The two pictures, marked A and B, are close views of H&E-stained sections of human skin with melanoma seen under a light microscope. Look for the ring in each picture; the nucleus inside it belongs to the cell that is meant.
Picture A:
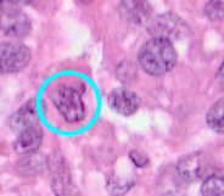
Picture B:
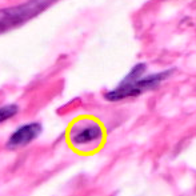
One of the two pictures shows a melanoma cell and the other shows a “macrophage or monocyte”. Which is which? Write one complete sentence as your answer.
Picture A is of a melanoma cell, and picture B is of a “macrophage or monocyte”.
